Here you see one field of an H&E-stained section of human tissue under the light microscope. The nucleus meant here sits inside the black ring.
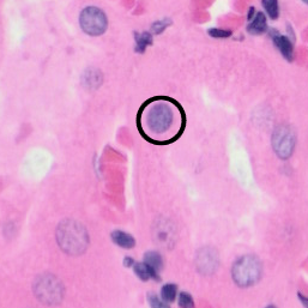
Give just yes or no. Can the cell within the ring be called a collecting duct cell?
no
